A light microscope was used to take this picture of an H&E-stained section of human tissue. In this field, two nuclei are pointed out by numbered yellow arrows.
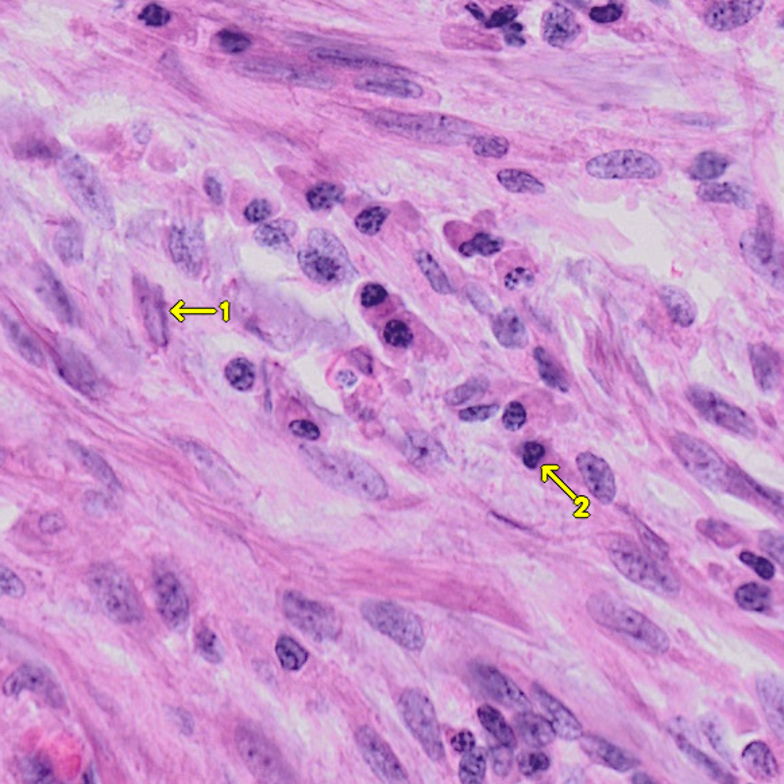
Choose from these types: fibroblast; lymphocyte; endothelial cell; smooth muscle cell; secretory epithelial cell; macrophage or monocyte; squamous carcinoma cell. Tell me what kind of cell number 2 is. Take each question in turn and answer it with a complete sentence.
The nucleus with number 2 is that of a lymphocyte.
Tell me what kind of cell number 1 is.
Heads up, the cell numbered 1 is a fibroblast.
